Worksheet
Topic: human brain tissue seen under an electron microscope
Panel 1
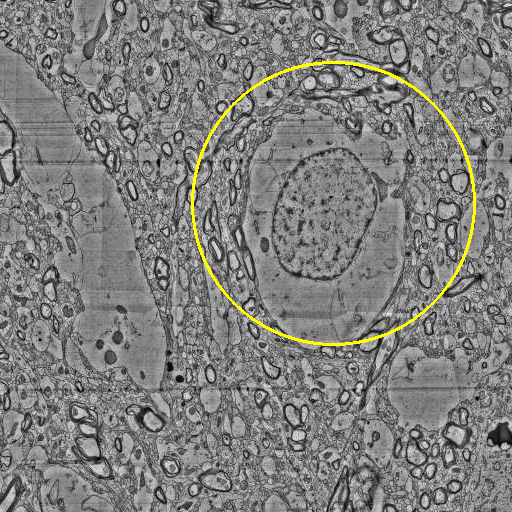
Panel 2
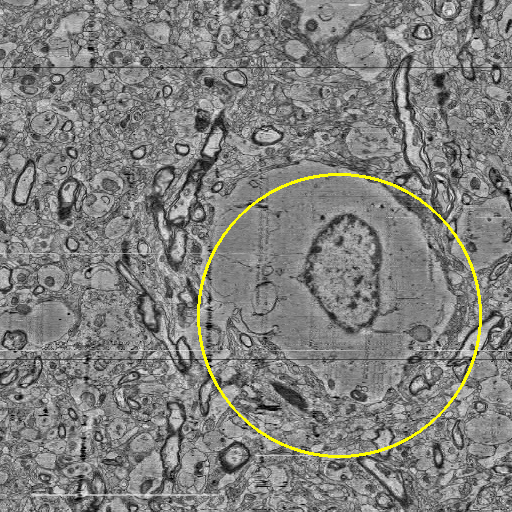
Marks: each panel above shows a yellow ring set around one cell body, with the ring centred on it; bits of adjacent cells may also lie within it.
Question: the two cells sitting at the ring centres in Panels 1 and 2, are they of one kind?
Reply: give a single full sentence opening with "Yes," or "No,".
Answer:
Yes, the two ring-centre cells in Panel 1 and Panel 2 are of one kind.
